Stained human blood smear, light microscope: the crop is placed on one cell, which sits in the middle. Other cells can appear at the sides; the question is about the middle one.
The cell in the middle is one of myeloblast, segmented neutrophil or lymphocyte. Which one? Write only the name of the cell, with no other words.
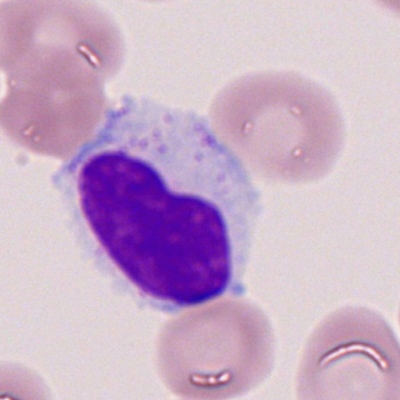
lymphocyte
